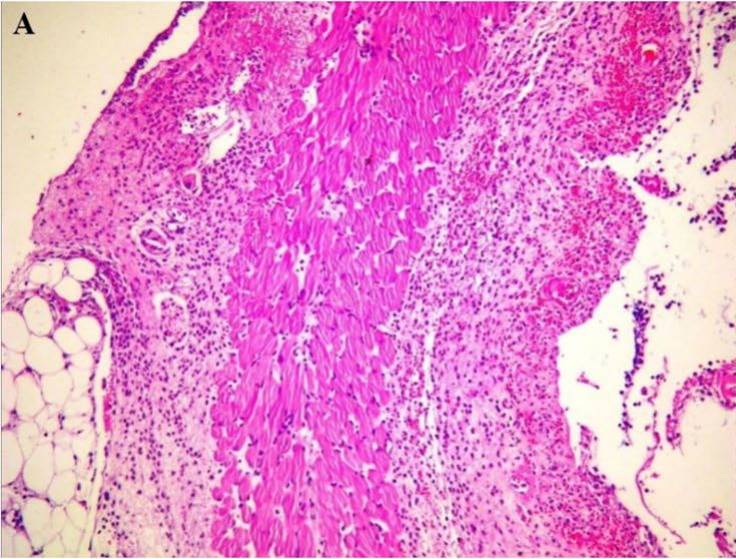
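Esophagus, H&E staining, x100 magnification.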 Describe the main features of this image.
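Esophageal wall with a central band of pink, elongated muscle fibres running obliquely through the field. On both sides the tissue is densely packed with small round cells bearing dark purple nuclei, an inflammatory infiltrate that also extends between the muscle fibres. At the upper right, clusters of red blood cells lie free in the tissue, in keeping with hemorrhage. Several small vessels with thickened walls are cut across within the infiltrated tissue at the left. Adipose tissue of large empty round fat cells sits at the lower left. The surface at the right is ragged, with loose detached cells and debris.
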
